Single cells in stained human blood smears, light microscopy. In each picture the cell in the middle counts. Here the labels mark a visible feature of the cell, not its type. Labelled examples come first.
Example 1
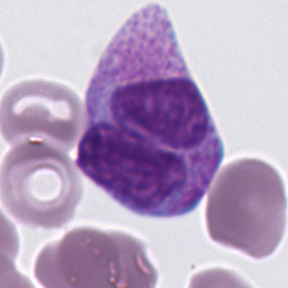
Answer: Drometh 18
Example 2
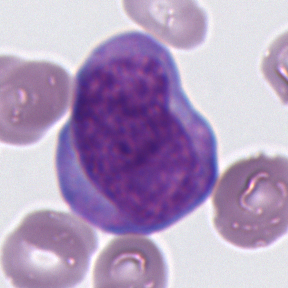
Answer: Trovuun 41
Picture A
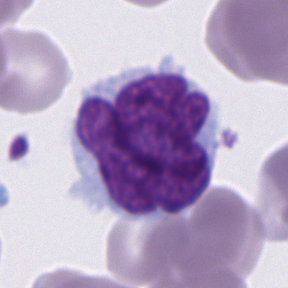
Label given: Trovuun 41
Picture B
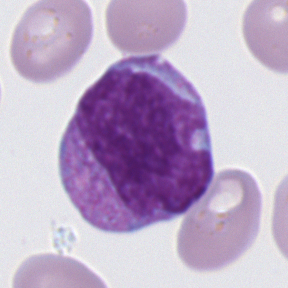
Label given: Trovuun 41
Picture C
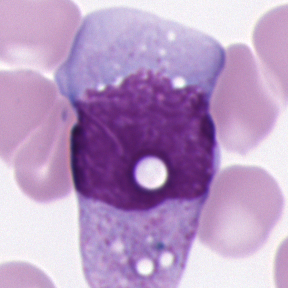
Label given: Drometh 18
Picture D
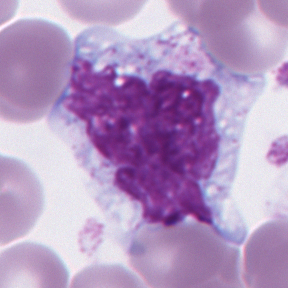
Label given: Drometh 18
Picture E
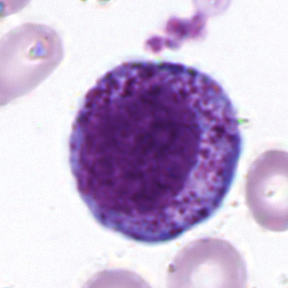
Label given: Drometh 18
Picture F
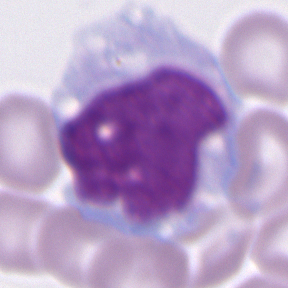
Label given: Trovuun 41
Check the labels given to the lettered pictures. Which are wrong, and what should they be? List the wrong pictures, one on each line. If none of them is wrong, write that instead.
Wrong: B (Trovuun 41); correct: Drometh 18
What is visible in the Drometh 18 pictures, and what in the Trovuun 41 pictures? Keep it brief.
Drometh 18: many visible granules; Trovuun 41: no visible granules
